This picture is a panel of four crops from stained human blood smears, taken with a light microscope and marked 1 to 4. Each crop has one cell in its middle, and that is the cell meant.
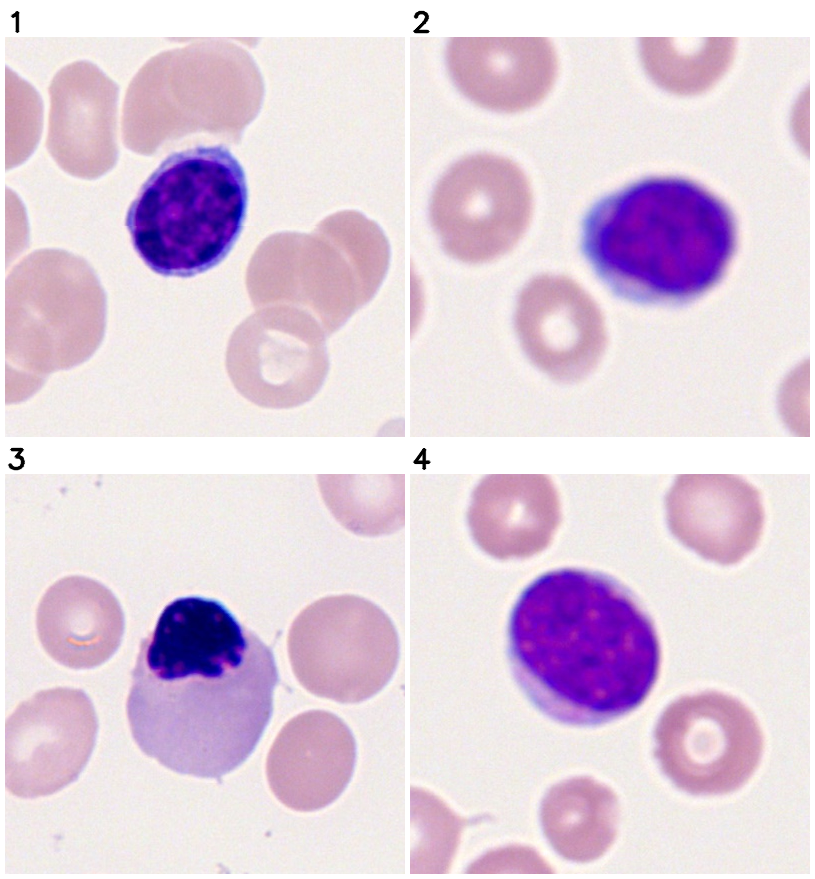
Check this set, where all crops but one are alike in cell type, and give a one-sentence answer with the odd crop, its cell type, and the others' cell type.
Crop 3 shows an erythroblast, while all of the others show lymphocytes.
